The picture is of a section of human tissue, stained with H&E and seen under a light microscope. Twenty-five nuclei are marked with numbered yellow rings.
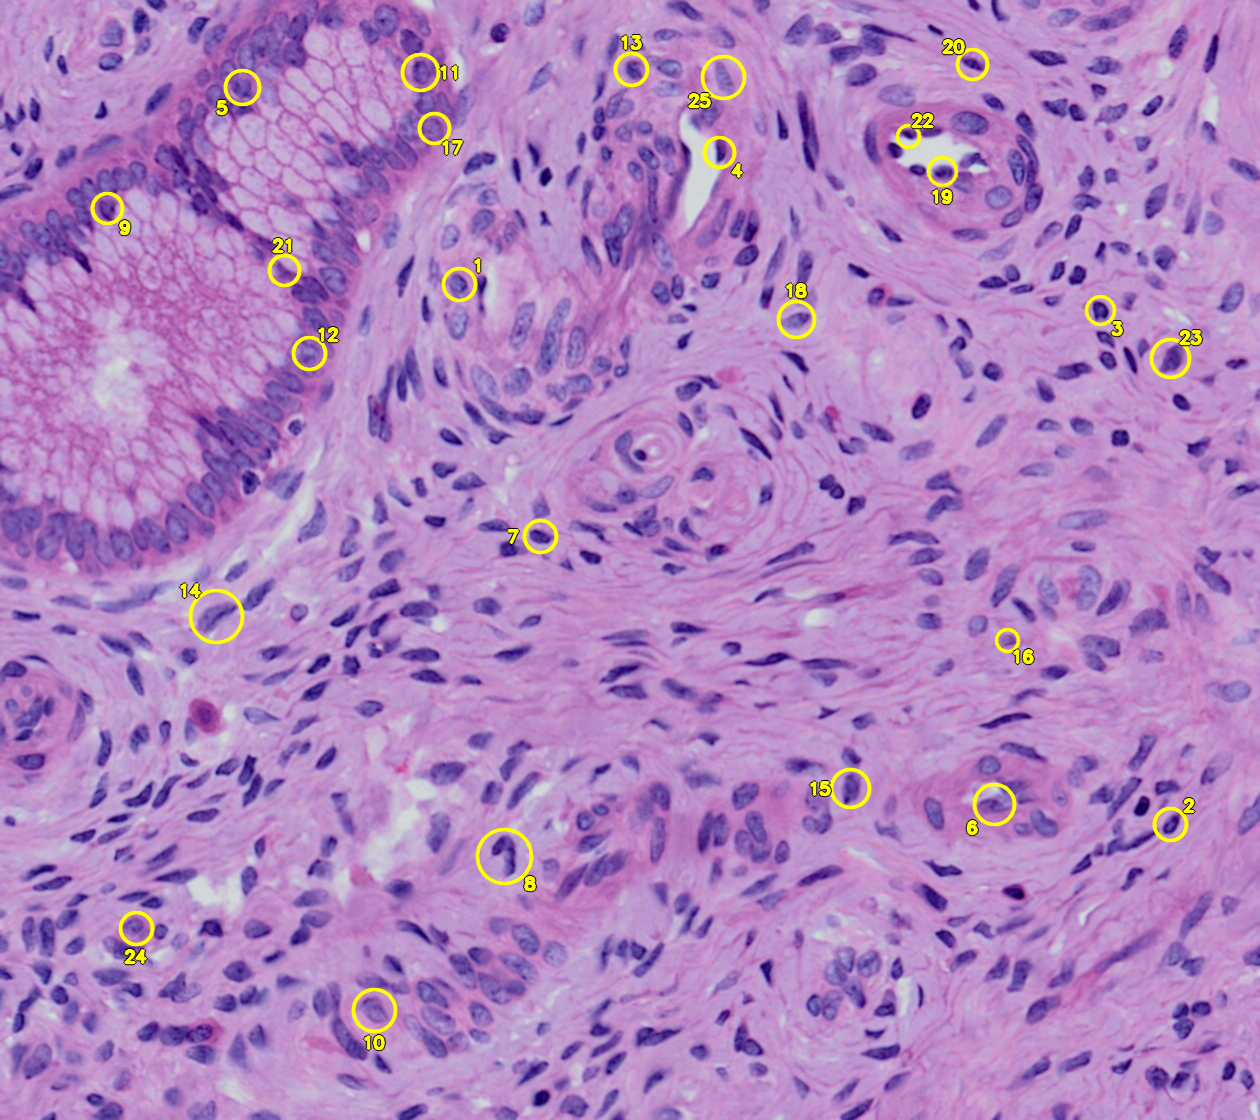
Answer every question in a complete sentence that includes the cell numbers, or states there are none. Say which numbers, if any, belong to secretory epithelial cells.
Each of the cells numbered 5, 9, 11, 12, 17 and 21 is among the secretory epithelial cells.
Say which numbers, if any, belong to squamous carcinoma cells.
None of the cells bearing numbers are squamous carcinoma cells.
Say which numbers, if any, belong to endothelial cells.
In terms of cell type, cells 4, 6, 19, 22 and 24 are endothelial cells.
